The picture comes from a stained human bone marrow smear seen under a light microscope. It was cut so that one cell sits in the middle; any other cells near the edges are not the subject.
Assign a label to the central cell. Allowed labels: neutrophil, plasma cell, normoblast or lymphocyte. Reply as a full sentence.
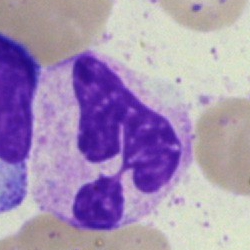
As for the cell in the middle, it is a neutrophil.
